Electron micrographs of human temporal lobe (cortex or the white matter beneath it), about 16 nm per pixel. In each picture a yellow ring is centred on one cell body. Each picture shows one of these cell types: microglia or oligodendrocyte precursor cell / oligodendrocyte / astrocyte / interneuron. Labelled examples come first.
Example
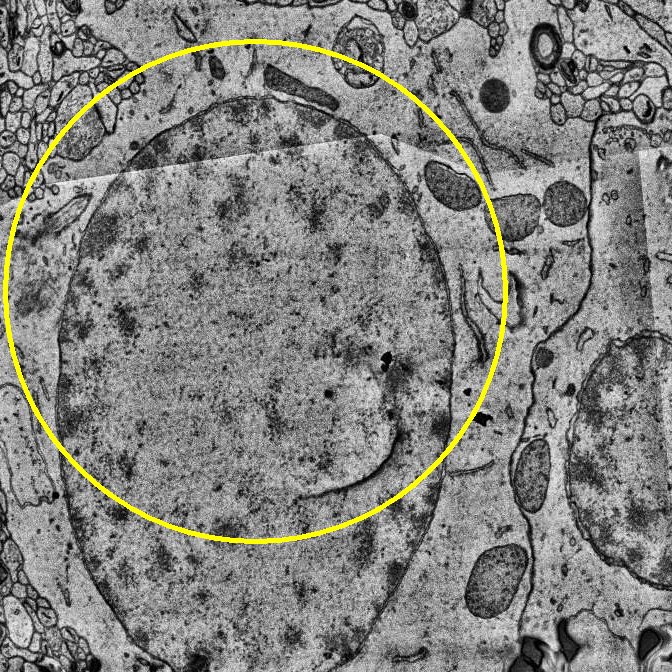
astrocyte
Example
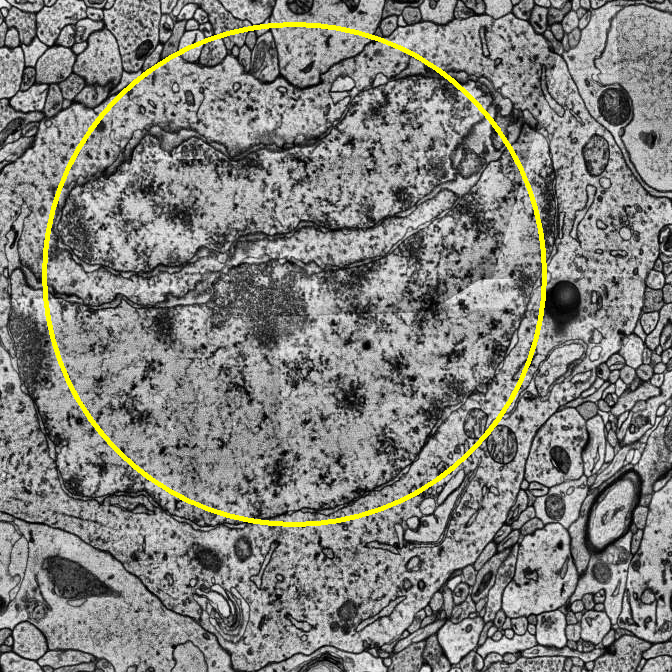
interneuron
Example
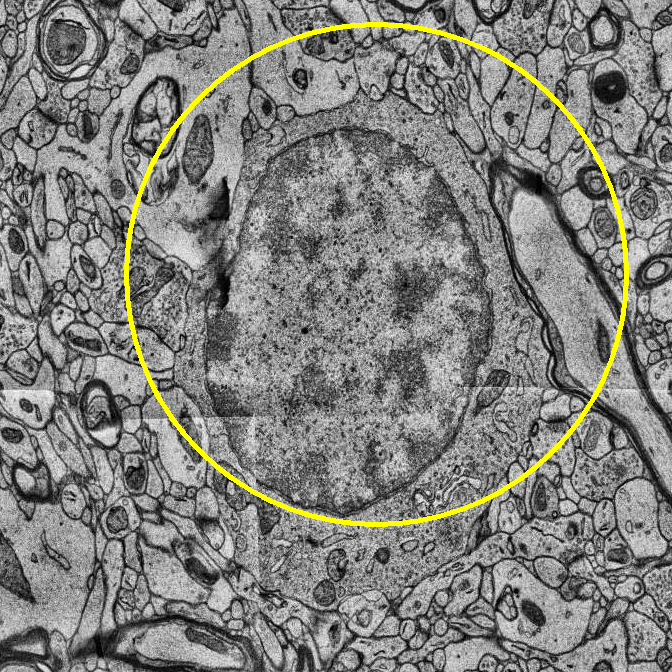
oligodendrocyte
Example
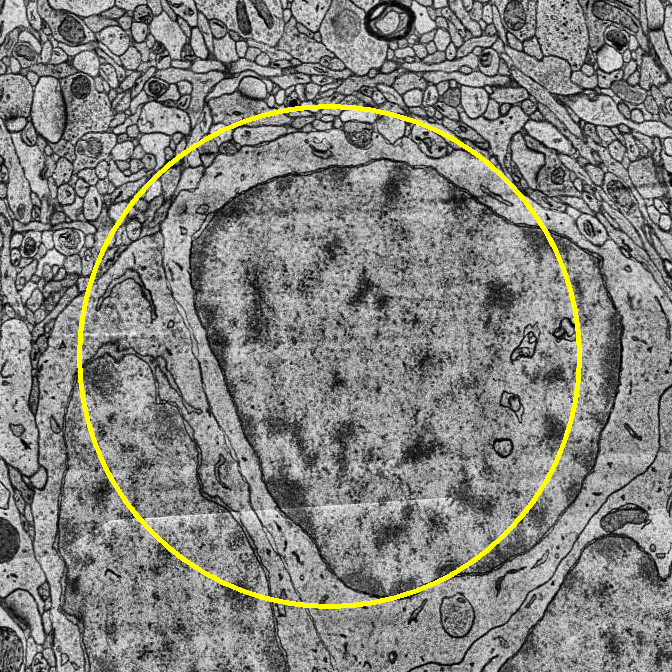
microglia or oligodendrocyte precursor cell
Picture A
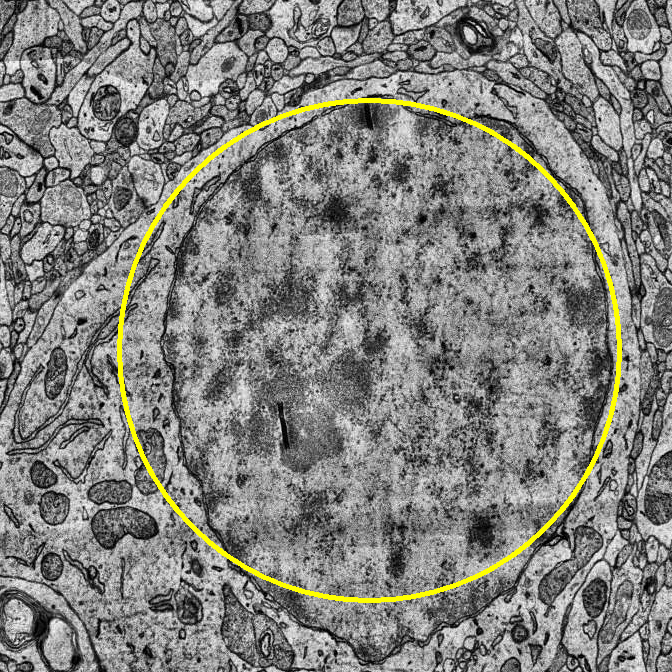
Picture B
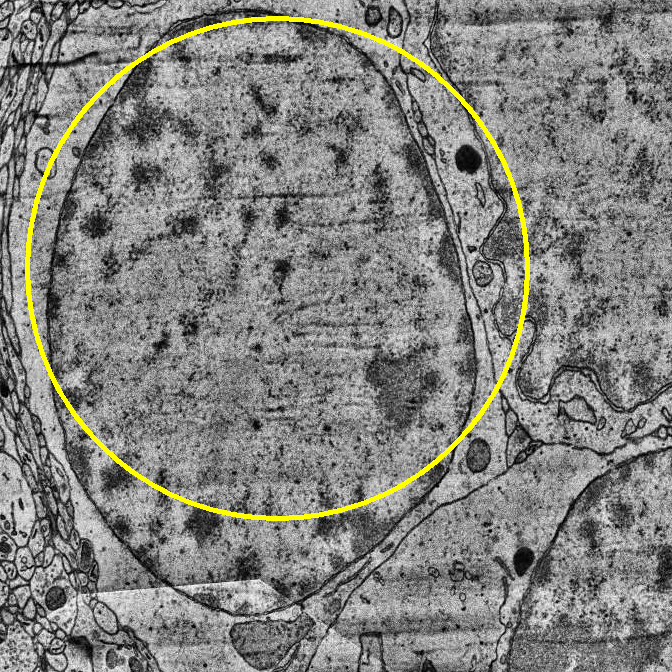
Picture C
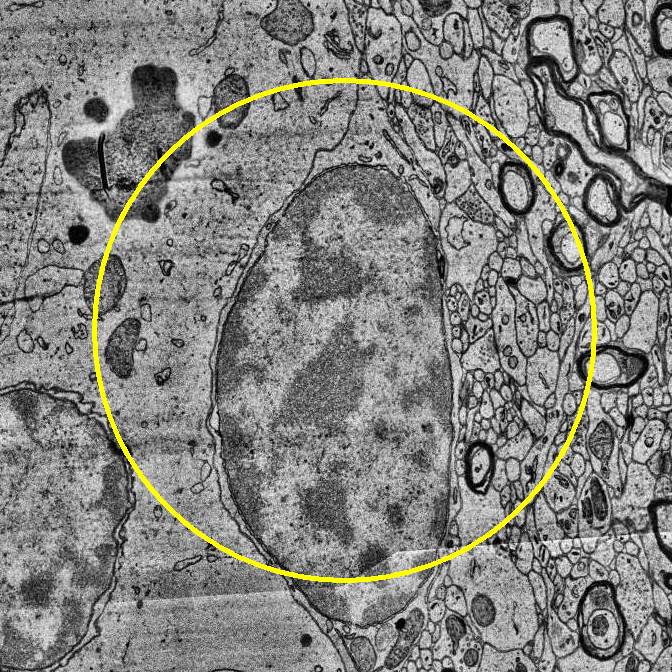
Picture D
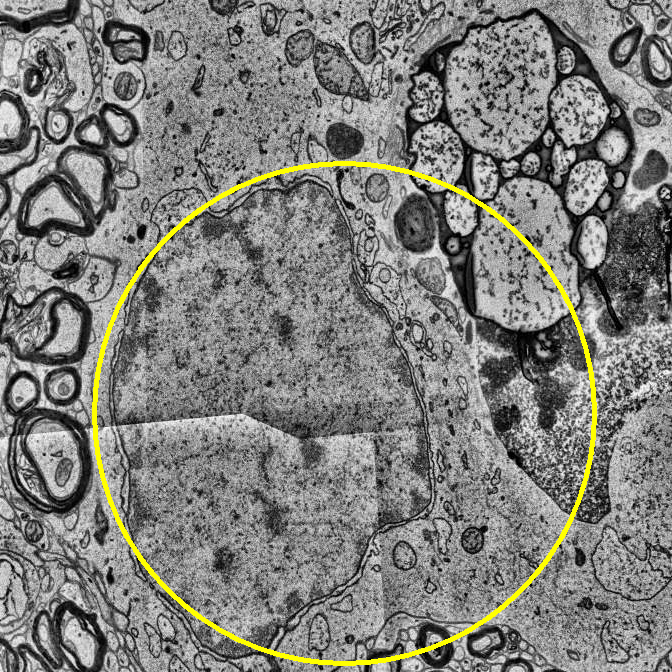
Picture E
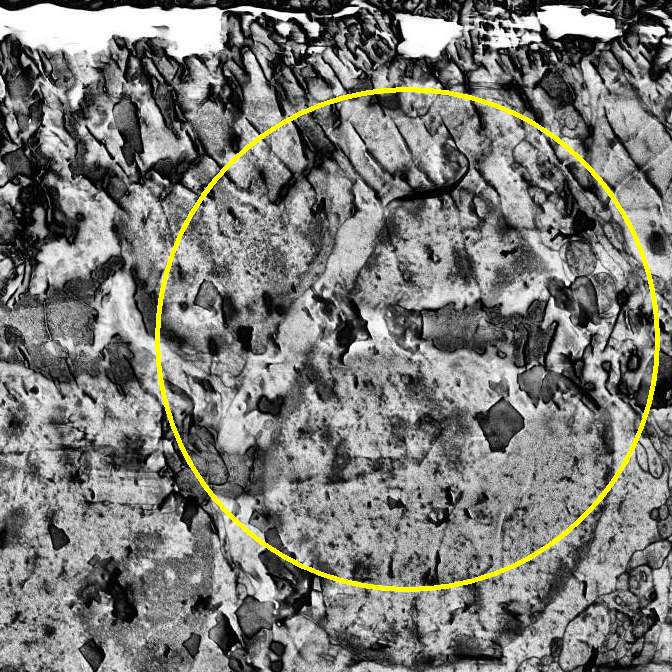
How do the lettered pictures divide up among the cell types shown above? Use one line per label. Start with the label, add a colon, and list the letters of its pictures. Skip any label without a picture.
microglia or oligodendrocyte precursor cell: C
astrocyte: B, D, E
interneuron: A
